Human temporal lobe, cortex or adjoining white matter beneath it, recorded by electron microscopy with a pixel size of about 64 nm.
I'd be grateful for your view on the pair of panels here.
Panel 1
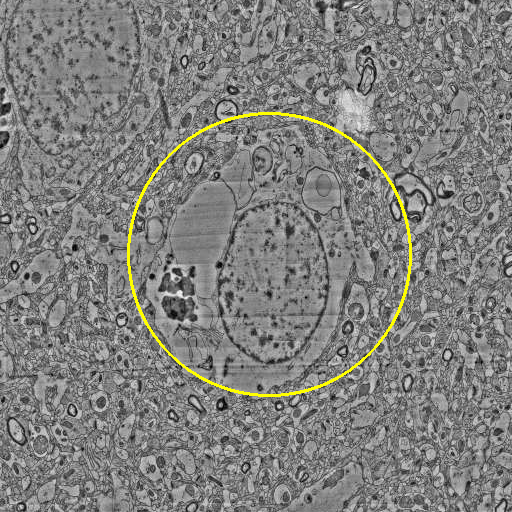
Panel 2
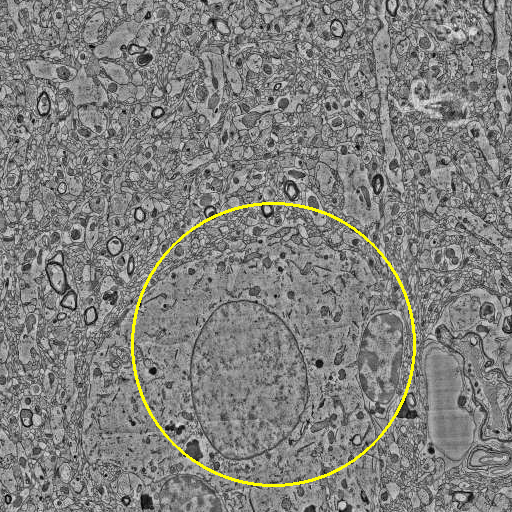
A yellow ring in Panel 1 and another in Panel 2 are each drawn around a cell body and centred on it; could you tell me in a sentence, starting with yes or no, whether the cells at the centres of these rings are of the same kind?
No, they are two kinds of cell.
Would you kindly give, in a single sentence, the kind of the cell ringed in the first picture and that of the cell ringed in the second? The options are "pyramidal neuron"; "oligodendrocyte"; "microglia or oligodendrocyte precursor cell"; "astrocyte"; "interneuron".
The second cell is a pyramidal neuron, and the first cell is an astrocyte.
